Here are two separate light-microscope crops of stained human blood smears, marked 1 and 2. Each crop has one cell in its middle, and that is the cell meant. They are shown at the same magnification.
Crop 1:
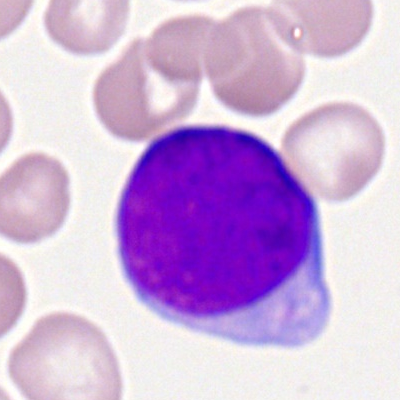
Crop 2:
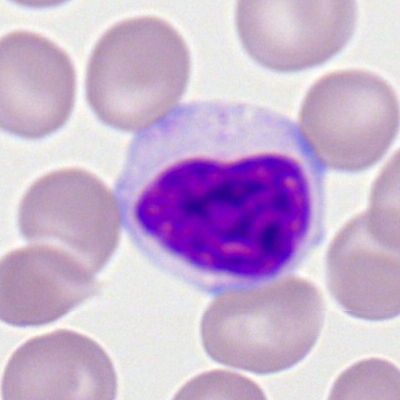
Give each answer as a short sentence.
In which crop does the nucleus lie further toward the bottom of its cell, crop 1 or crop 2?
The nucleus in crop 2 lies further toward the bottom of its cell.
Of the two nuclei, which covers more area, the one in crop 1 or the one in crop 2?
It is the nucleus in crop 1, about 2 times as large in area as the one in crop 2.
